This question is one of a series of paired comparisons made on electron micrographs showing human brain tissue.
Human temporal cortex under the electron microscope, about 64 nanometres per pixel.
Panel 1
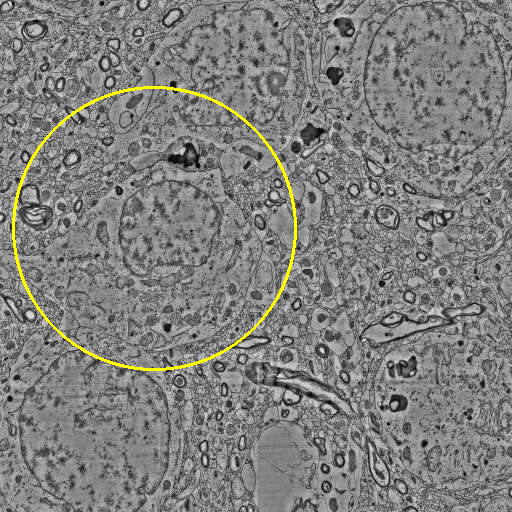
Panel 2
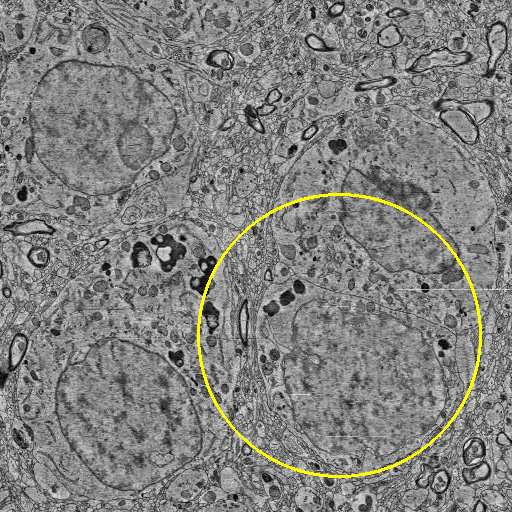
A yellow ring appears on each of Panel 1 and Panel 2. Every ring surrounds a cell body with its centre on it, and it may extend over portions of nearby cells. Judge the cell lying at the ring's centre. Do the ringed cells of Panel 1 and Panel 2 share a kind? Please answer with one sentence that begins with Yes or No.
No, the ring-centre cell in Panel 1 and the one in Panel 2 are of two kinds.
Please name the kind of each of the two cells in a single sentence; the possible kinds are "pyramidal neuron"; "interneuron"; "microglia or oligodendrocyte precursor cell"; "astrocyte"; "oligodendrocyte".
In the first picture the ring is centred on a pyramidal neuron, and in the second on an interneuron.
